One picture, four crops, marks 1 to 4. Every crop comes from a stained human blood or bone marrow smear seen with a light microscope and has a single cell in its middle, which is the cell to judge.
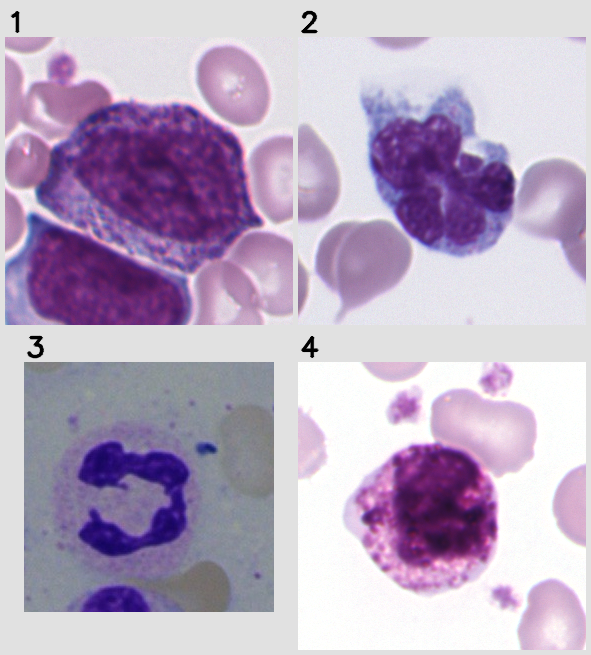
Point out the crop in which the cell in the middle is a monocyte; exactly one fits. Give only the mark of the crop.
2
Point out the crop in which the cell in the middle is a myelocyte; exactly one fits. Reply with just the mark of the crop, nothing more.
1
